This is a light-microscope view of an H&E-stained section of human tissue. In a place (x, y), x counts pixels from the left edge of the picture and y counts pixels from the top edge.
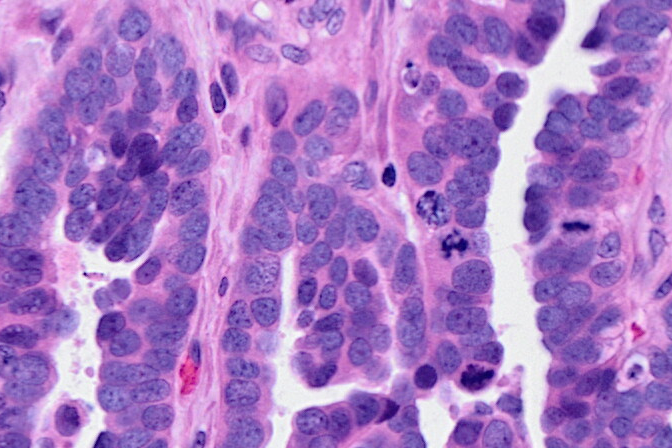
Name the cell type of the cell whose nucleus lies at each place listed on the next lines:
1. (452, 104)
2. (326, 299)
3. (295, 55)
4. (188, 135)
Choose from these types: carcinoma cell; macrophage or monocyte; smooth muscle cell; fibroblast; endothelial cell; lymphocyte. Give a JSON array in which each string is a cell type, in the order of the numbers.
["carcinoma cell", "carcinoma cell", "fibroblast", "carcinoma cell"]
